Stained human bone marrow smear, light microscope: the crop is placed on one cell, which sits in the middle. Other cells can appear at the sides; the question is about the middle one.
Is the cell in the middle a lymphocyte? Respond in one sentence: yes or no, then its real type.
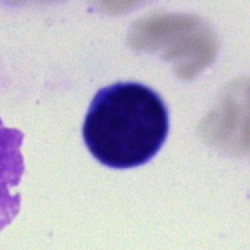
Yes, the cell lying in the middle is a lymphocyte.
